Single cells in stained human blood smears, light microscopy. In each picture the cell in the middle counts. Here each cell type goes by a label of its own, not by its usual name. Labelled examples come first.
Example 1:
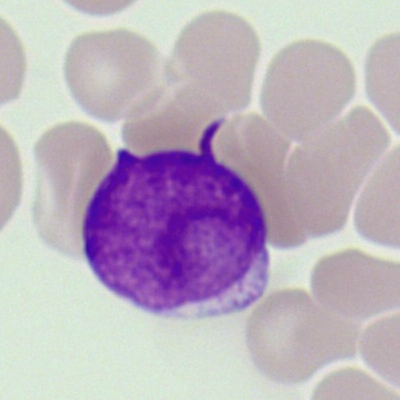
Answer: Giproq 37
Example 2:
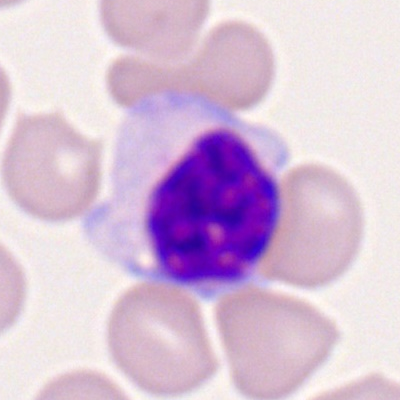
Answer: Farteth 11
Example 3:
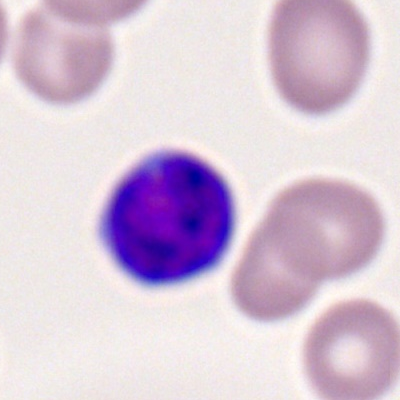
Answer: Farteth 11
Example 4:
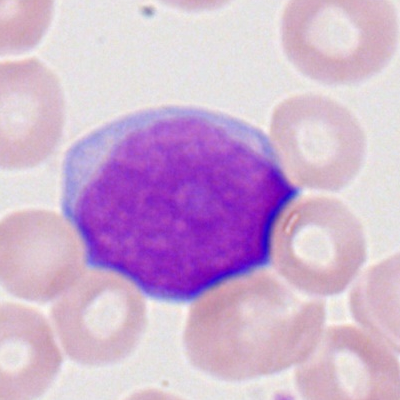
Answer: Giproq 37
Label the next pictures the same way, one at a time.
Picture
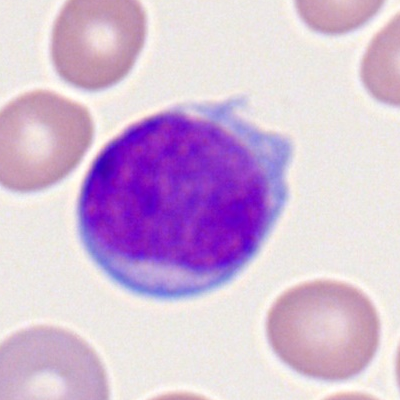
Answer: Giproq 37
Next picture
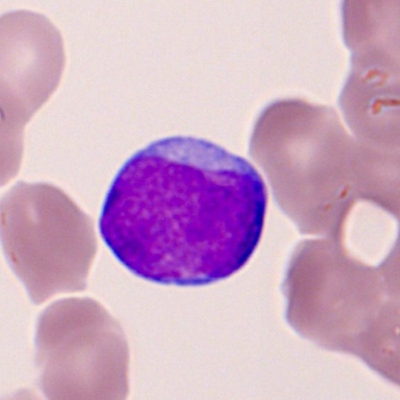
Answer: Giproq 37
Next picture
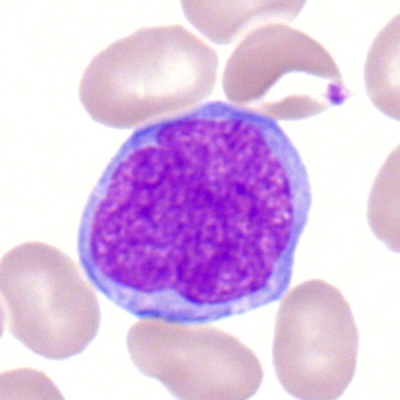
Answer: Giproq 37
